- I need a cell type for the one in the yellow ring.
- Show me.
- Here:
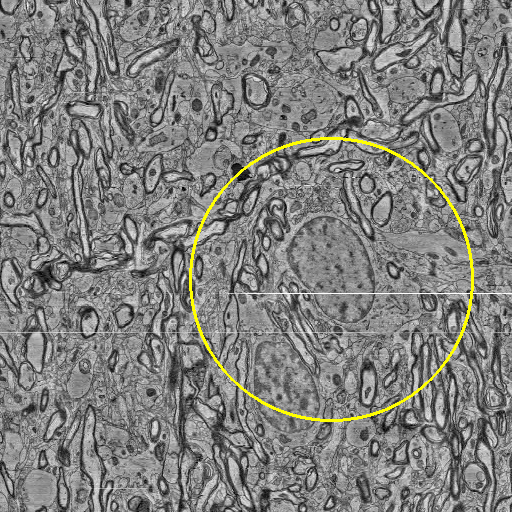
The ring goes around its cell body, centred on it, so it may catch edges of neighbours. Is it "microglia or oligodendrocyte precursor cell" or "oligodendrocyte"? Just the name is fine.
microglia or oligodendrocyte precursor cell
